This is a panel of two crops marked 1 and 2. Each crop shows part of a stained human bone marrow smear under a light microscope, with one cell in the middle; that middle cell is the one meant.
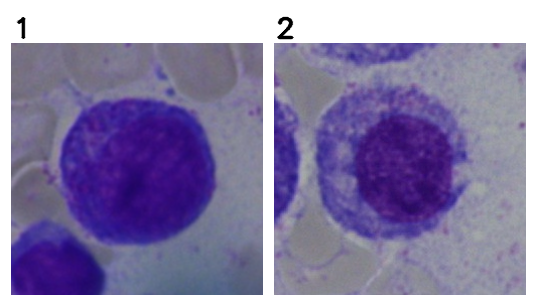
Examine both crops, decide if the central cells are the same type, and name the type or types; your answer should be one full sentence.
Yes, as an answer for this item, both crops show promyelocytes.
